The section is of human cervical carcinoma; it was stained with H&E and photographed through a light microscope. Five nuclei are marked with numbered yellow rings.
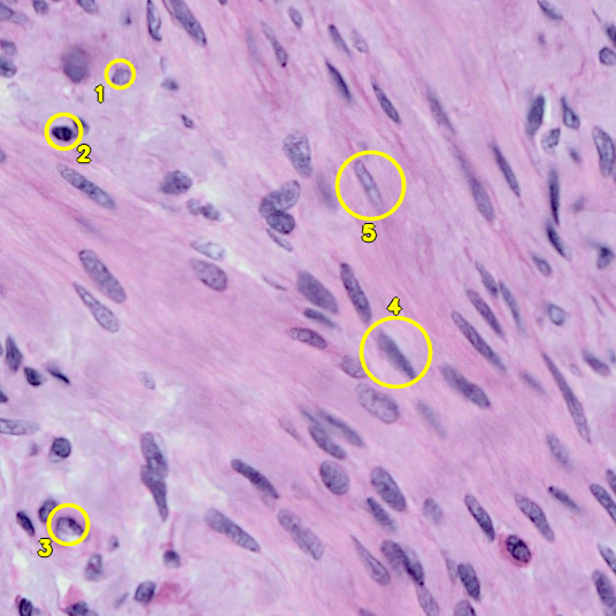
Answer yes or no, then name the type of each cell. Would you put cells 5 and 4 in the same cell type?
No, cell 5 is a smooth muscle cell and cell 4 is a fibroblast.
